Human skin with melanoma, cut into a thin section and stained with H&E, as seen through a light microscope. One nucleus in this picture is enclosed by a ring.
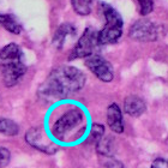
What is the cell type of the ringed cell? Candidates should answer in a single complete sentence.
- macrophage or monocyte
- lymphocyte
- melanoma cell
For cell typing purposes, the ringed cell is a melanoma cell.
